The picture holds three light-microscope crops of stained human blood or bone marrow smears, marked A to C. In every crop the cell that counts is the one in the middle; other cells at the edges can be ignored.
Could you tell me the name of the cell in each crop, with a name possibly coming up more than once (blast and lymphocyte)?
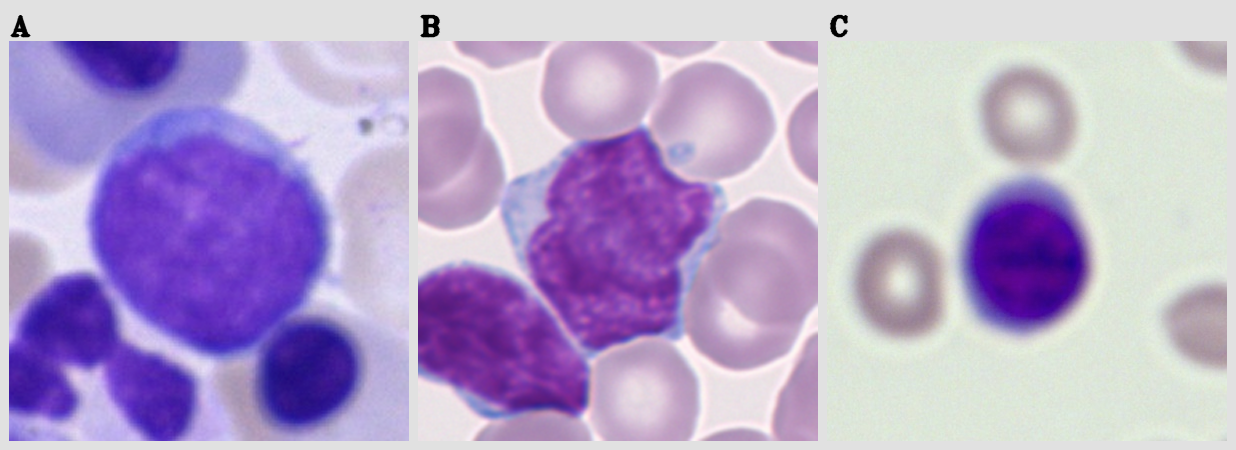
A: blast
B: lymphocyte
C: lymphocyte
